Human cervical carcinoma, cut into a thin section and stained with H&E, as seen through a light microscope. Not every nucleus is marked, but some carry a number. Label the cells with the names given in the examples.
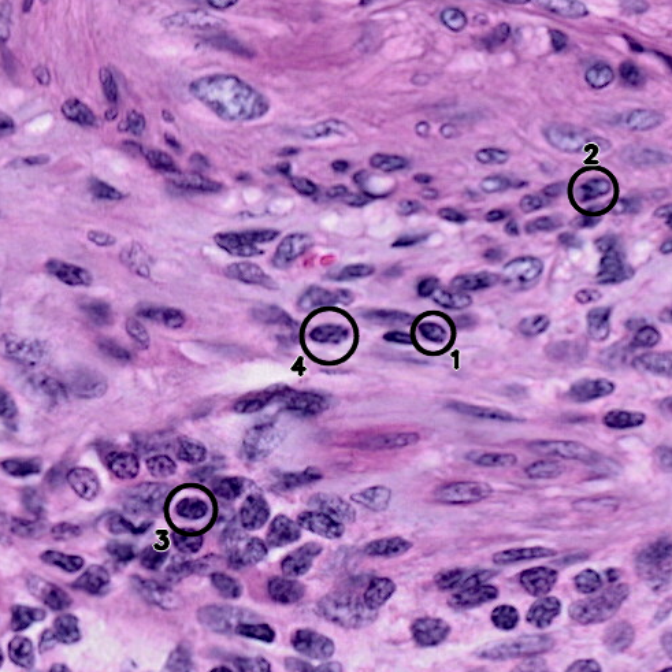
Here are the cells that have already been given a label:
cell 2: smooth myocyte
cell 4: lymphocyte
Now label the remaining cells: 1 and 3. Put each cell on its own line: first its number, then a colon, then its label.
1: lymphocyte
3: lymphocyte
